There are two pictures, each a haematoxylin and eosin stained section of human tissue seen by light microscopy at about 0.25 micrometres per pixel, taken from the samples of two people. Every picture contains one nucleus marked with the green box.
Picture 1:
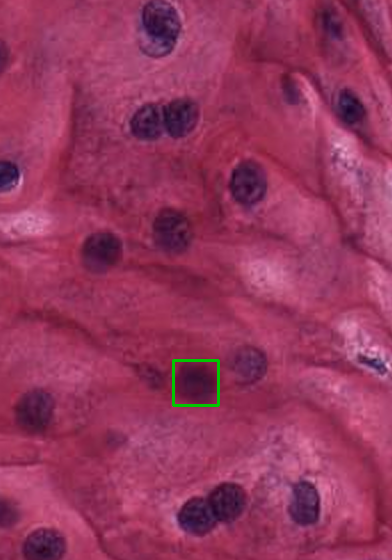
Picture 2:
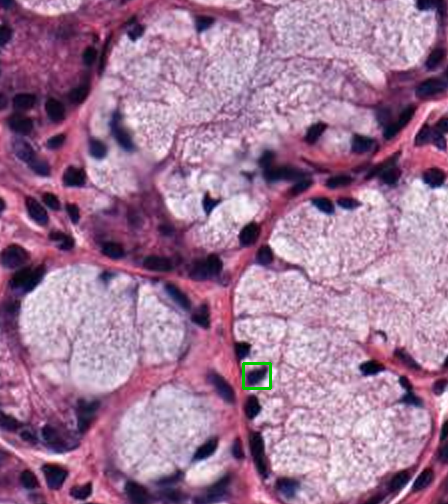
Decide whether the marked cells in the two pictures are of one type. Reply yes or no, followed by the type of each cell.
No, the first is a squamous epithelial cell and the second a mucous gland cell.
